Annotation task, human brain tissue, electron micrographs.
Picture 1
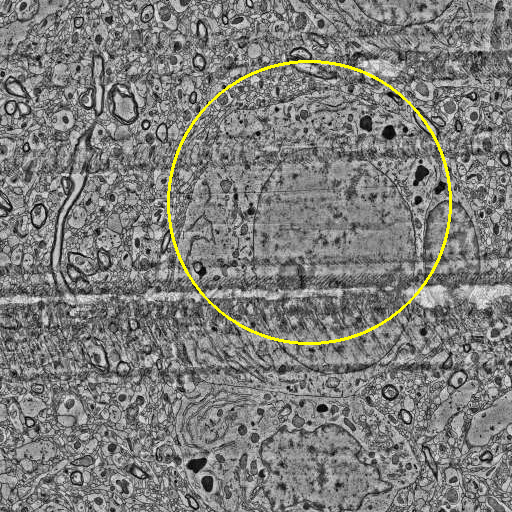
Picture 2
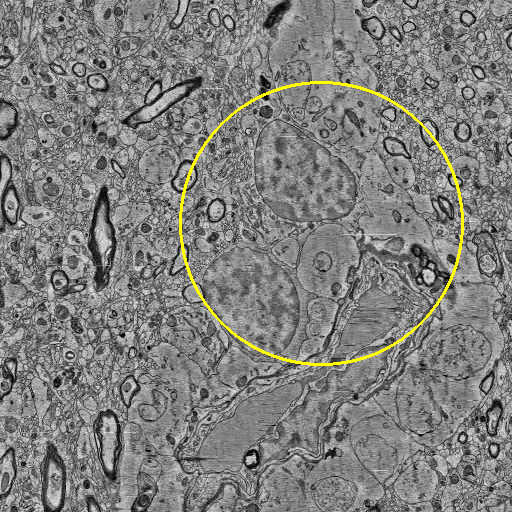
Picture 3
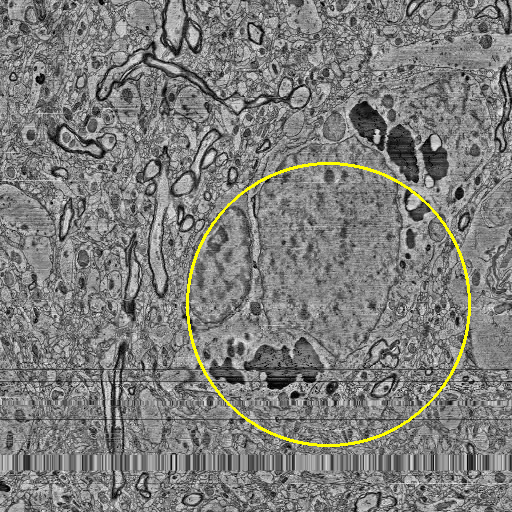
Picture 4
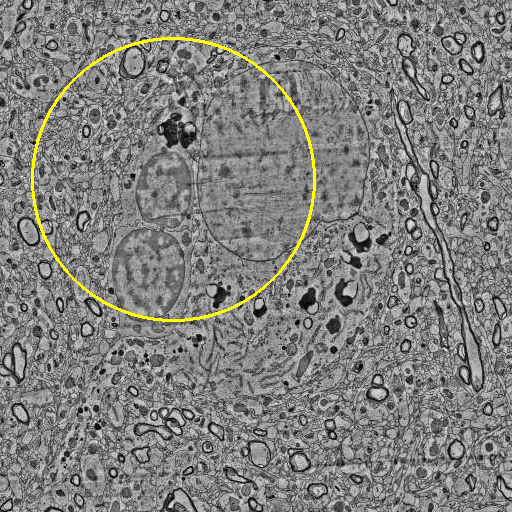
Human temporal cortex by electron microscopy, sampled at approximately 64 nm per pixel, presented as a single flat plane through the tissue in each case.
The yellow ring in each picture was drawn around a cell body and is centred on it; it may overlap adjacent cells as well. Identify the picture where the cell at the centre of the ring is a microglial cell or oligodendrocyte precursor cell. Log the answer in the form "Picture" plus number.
Picture 2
